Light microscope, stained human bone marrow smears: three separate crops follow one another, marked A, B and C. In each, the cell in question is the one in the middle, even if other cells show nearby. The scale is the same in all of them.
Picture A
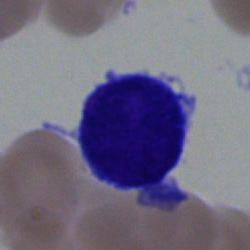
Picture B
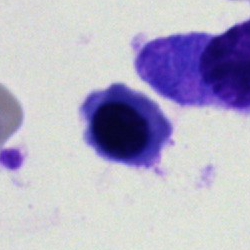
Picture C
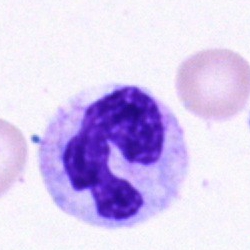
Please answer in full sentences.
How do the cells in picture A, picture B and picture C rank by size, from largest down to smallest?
The order is C, A, B, beginning with the largest.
